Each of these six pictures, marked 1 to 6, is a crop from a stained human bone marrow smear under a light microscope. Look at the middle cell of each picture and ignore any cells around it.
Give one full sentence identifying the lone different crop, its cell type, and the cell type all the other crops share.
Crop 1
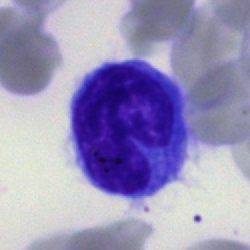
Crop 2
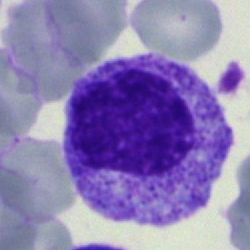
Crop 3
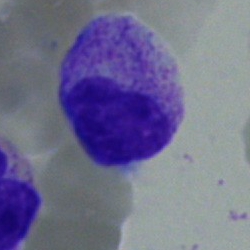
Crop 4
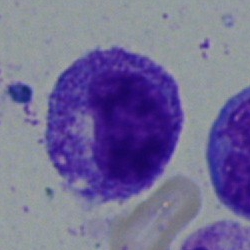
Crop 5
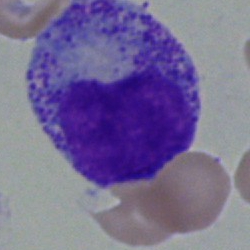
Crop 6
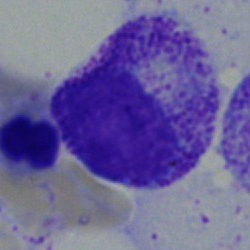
Crop 1 shows a monocyte; by contrast, all the other crops show myelocytes.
